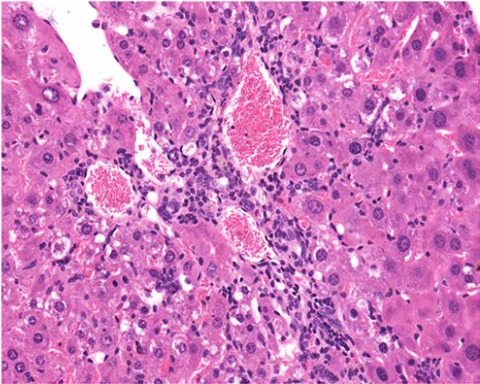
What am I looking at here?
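This is liver tissue with hepatocytes and an inflammatory infiltrate around vessels. Several vessels in the centre are packed with red blood cells. Around them lie clusters of small cells with dark round or bean-shaped nuclei and little cytoplasm, extending in strands between neighbouring hepatocytes. The hepatocytes are large polygonal cells with pink cytoplasm and round nuclei, some cells containing clear vacuoles near the infiltrate. An empty vessel lumen opens at the upper left, and intact hepatocyte plates fill the right side of the field.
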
